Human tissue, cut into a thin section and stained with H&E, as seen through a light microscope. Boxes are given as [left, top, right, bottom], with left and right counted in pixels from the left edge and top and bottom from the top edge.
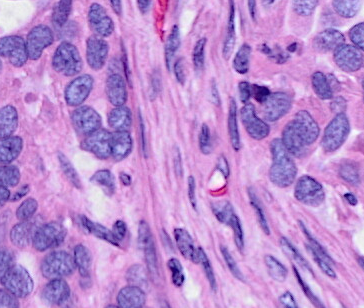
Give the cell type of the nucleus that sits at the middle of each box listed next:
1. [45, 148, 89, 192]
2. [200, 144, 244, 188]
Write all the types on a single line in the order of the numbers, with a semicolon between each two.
fibroblast; endothelial cell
